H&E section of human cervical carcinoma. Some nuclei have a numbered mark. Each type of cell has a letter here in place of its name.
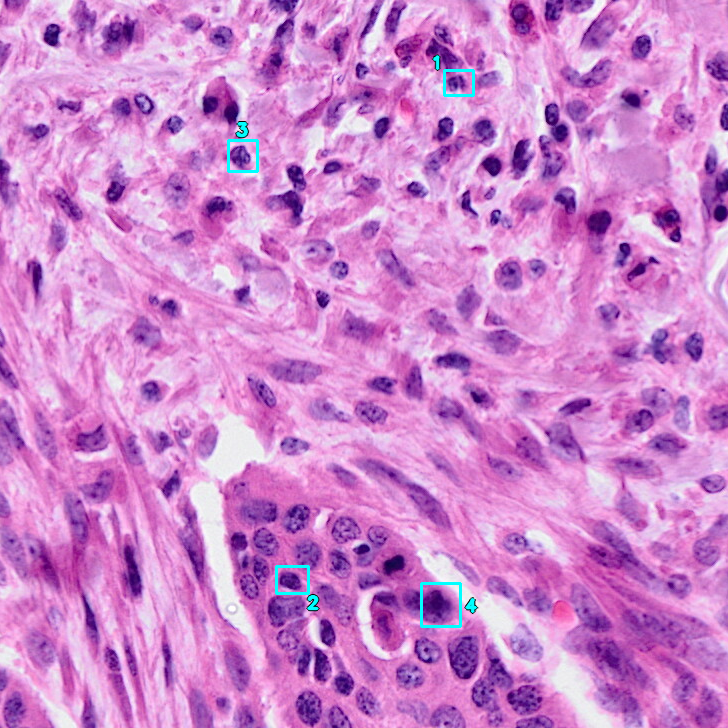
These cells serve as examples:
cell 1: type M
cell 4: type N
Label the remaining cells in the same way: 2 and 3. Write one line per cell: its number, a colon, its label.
2: type N
3: type M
